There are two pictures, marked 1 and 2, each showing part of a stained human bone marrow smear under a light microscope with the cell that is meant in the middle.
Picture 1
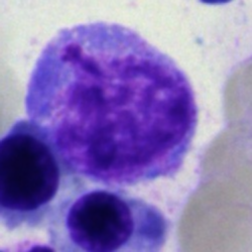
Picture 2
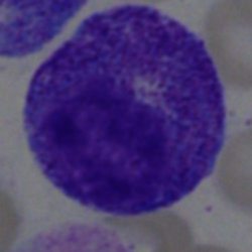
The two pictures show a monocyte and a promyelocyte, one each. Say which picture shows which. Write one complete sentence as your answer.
Picture 1 shows a monocyte and picture 2 shows a promyelocyte.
